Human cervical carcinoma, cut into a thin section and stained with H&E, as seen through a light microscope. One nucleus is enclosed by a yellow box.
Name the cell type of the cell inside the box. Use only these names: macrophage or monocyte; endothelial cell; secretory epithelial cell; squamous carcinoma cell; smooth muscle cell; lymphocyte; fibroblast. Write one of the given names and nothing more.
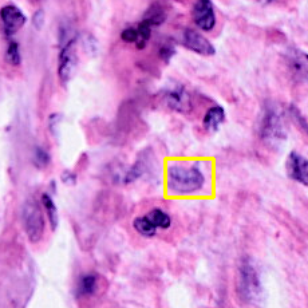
macrophage or monocyte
